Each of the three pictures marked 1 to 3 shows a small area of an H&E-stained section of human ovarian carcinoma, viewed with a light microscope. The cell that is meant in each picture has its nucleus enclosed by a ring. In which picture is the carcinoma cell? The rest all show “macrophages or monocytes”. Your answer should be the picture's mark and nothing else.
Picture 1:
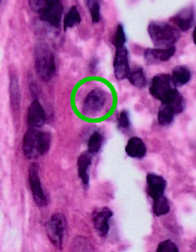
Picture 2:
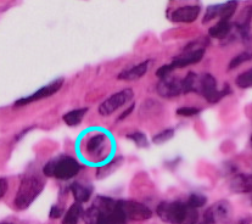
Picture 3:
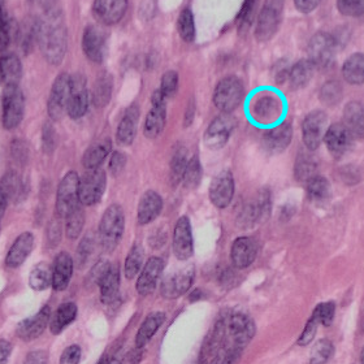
3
